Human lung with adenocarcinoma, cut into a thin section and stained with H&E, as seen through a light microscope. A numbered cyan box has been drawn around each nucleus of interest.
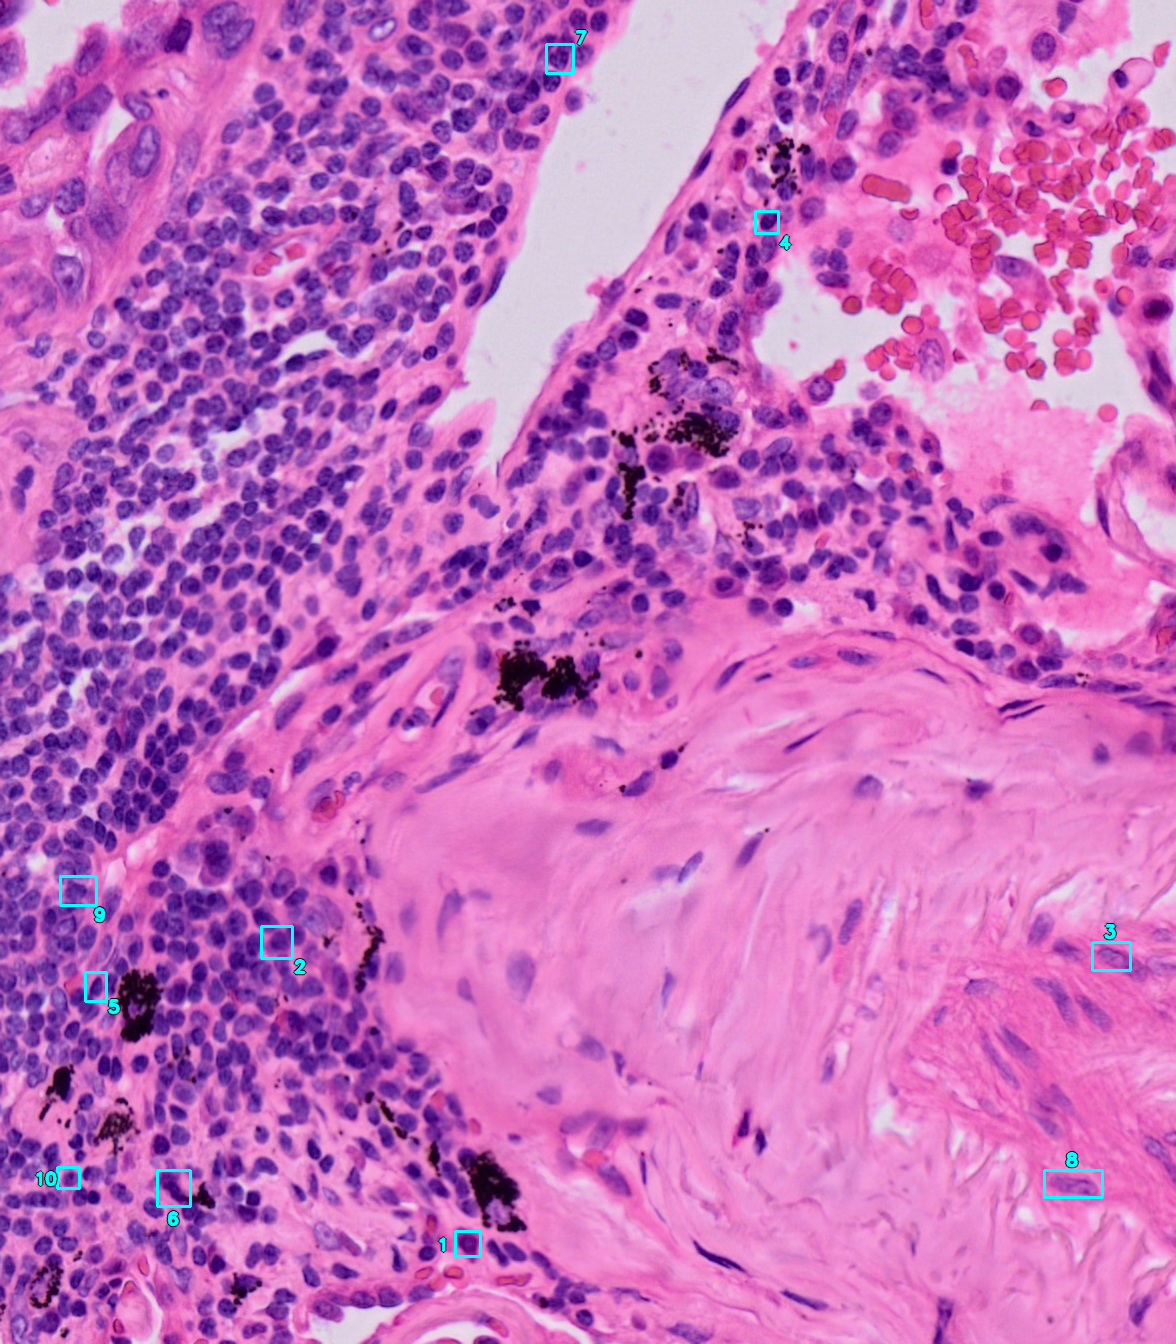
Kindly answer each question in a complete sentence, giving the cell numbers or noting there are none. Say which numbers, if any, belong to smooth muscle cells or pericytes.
The cells which carry the numbers 3 and 8 are smooth muscle cells or pericytes.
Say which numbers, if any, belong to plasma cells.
Marked by the numbers 1 and 6 are cells that are plasma cells.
